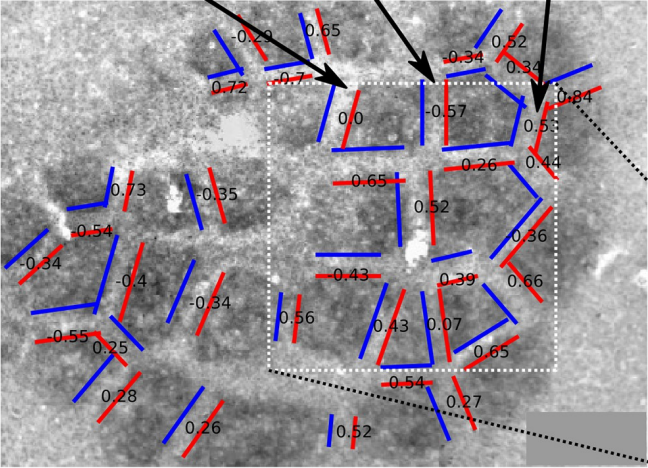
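A tangential view of the cortical surface shows large dark grey polygonal patches packed side by side like tiles. Narrow pale bands separate them, giving a honeycomb-like mosaic. These dark patches are the barrel columns, and the pale bands between them form the barrel boundaries.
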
